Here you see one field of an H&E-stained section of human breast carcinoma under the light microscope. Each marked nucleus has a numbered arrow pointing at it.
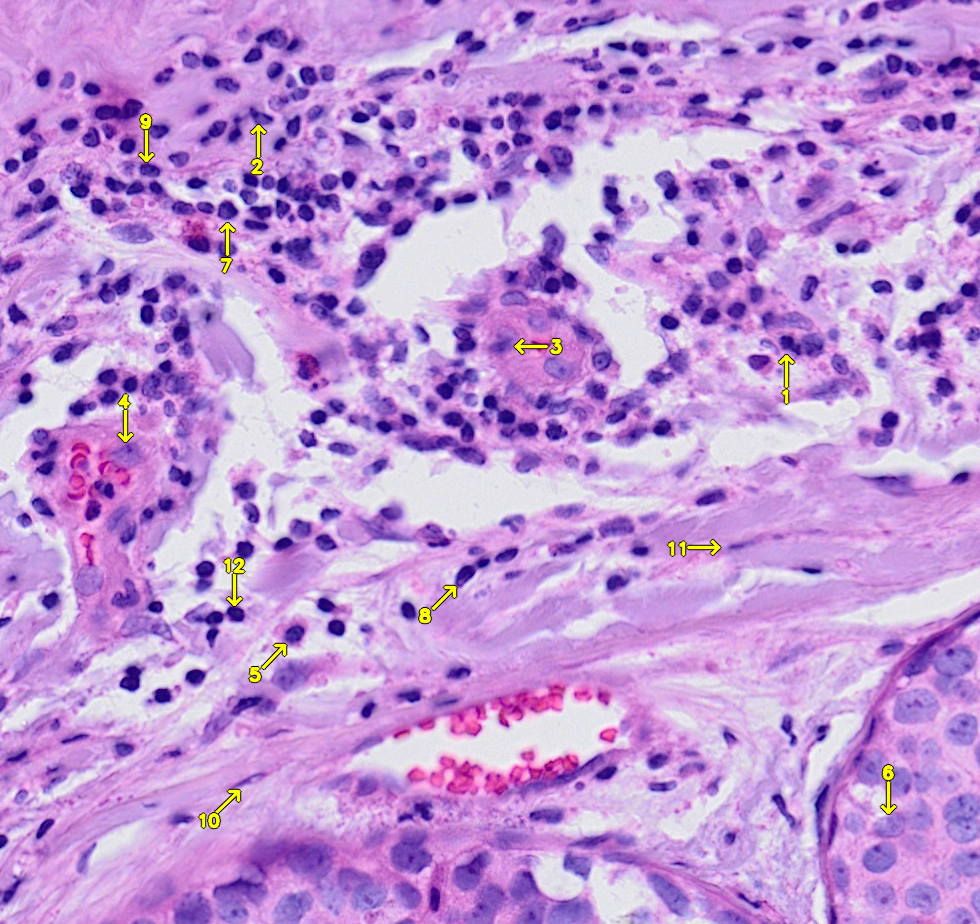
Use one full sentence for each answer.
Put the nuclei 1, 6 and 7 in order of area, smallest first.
The order from the smallest nucleus to the largest is 1, 7, 6.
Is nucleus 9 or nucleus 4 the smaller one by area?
The smaller nucleus is 9, and 4 covers roughly 3 times its area.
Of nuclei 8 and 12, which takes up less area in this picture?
Number 12 is smaller, since number 8 takes up about 1.5 times as much area.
